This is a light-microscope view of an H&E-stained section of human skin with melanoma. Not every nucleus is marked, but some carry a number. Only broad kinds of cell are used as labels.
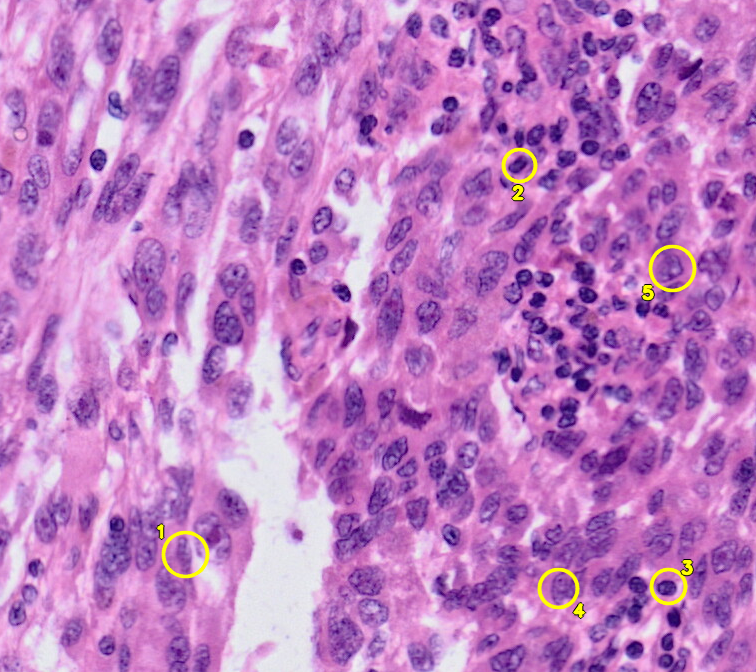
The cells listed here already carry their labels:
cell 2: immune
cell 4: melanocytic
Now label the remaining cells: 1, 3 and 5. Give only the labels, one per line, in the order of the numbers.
melanocytic
immune
melanocytic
